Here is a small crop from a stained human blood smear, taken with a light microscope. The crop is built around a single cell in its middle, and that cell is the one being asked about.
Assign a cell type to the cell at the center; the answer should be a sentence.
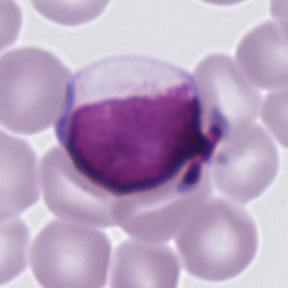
In the central position of this crop, the cell is a large granular lymphocyte.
